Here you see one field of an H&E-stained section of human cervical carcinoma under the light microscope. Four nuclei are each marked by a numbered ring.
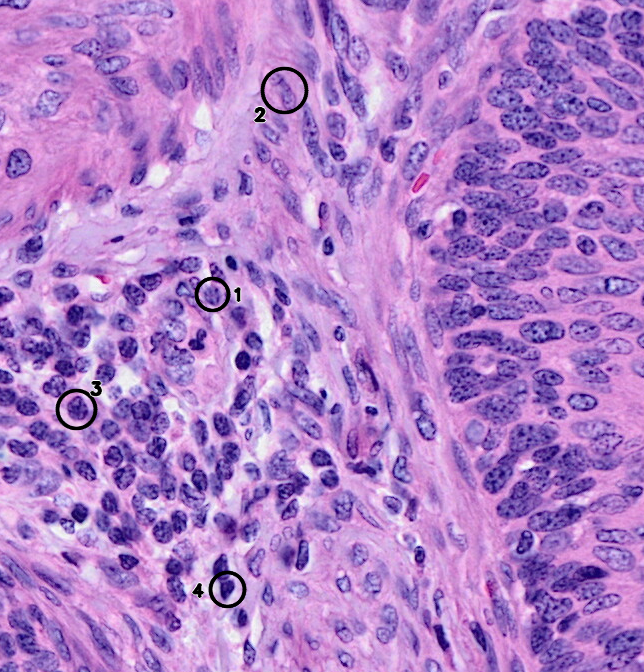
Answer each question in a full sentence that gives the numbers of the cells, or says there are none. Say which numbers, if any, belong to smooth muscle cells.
Only number 2 of the marked cells is a smooth muscle cell.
